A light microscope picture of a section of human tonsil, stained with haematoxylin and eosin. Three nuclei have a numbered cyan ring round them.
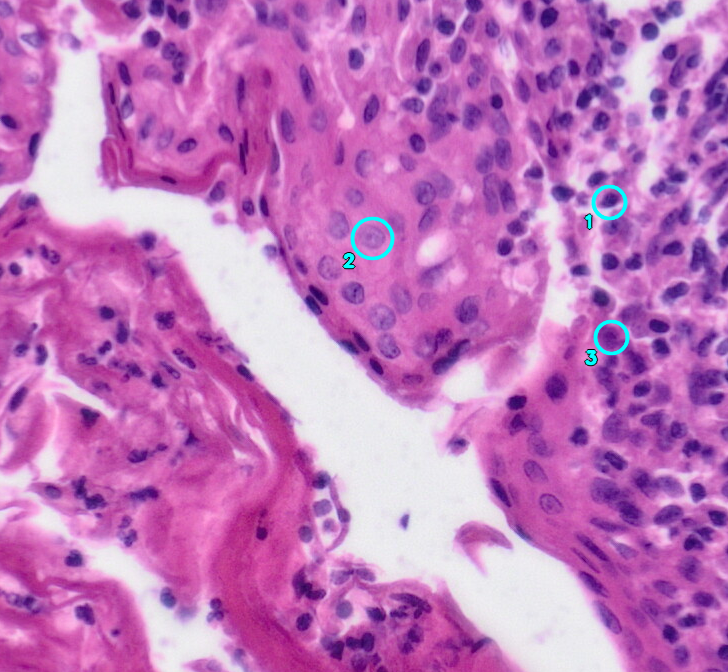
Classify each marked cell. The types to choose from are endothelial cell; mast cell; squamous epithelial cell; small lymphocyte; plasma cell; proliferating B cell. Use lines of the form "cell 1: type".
cell 1: plasma cell
cell 2: squamous epithelial cell
cell 3: squamous epithelial cell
